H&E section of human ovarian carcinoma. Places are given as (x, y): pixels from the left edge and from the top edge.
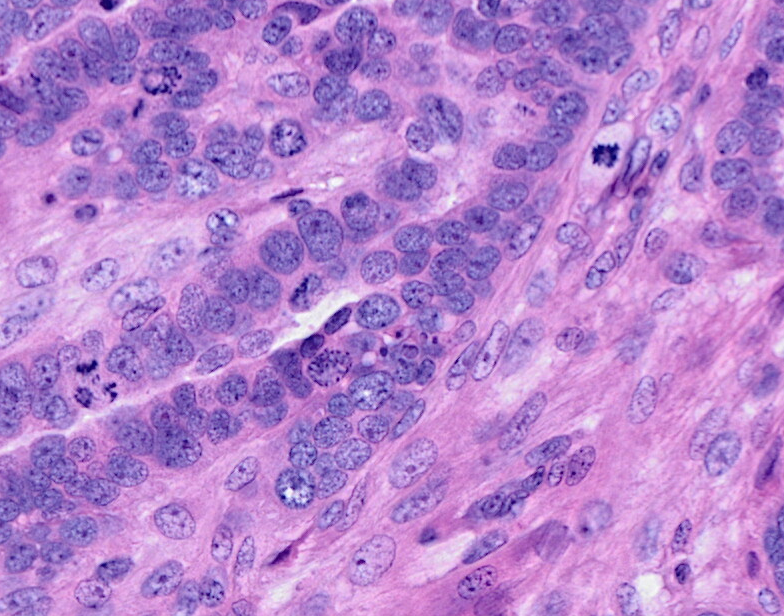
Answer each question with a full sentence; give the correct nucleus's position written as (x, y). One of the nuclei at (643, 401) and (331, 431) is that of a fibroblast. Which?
The one nucleus of the two that belongs to a fibroblast is at (643, 401).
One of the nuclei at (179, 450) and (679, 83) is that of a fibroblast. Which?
The nucleus located at (679, 83) is the one held within a fibroblast.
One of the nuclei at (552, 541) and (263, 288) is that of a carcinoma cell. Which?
Lying within a carcinoma cell is the nucleus at (263, 288).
